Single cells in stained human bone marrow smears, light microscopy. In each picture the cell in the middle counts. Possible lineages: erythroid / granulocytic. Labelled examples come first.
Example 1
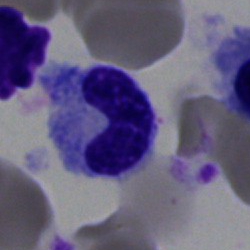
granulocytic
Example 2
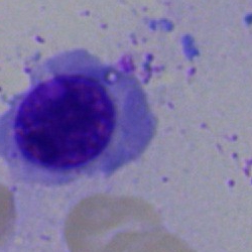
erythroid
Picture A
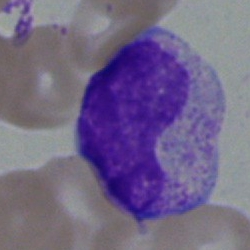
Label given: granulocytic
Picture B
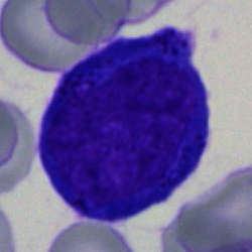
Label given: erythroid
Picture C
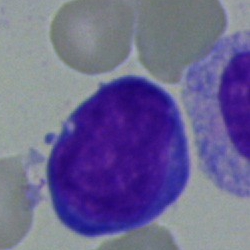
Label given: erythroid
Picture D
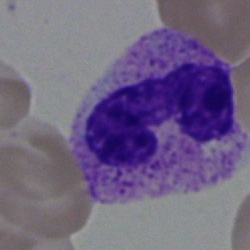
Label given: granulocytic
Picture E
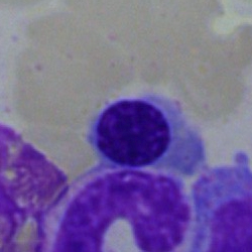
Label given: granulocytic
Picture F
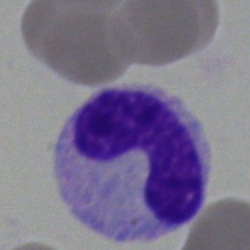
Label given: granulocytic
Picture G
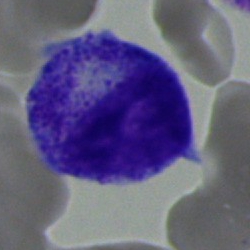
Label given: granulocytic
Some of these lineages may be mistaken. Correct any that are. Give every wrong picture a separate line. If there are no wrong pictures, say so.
E: change granulocytic to erythroid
